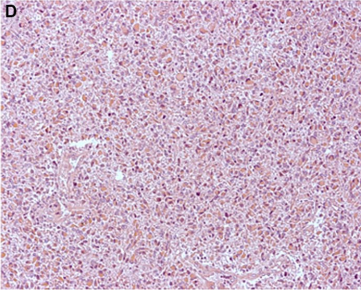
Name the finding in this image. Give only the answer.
Densely cellular neoplasia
